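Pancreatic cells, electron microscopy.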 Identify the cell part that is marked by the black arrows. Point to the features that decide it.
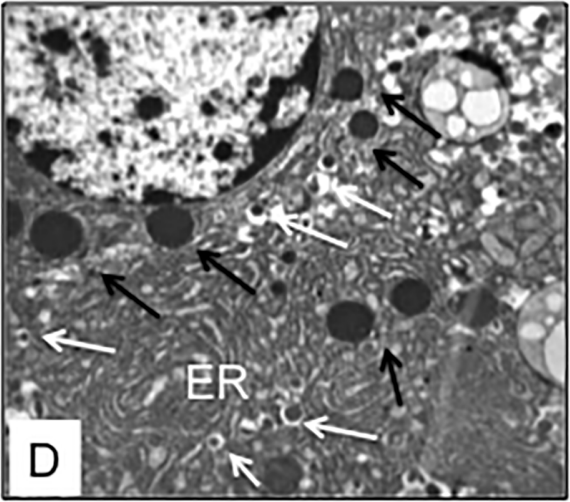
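The black arrows point to large round uniformly dark granules. Several of these granules lie close to the nucleus.
Zymogen-like.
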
